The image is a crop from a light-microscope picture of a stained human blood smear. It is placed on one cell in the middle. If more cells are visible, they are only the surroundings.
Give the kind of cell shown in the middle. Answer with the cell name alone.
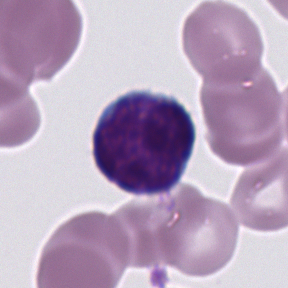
typical lymphocyte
